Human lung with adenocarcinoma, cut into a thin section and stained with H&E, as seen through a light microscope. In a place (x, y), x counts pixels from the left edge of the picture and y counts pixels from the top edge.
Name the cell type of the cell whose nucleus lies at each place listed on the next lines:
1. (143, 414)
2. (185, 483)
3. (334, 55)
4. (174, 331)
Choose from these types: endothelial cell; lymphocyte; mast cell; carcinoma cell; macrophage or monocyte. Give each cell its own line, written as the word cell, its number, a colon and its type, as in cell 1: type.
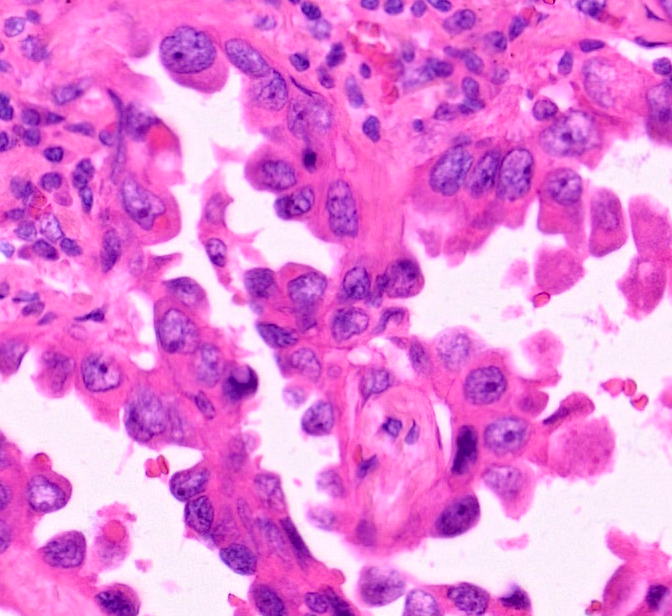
cell 1: carcinoma cell
cell 2: carcinoma cell
cell 3: lymphocyte
cell 4: carcinoma cell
